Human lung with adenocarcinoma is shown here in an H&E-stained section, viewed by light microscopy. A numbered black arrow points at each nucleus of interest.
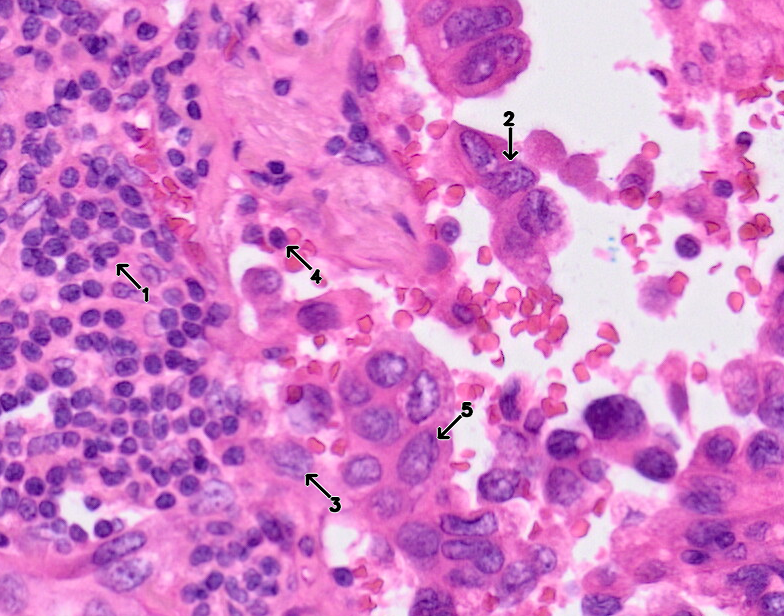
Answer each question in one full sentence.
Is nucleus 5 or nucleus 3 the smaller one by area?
Nucleus 3 covers less area, with nucleus 5 about 1.5 times as large.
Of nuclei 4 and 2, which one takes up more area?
Nucleus 2 is larger, with an area about 3 times that of nucleus 4.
